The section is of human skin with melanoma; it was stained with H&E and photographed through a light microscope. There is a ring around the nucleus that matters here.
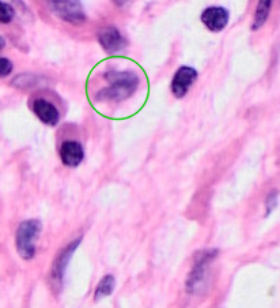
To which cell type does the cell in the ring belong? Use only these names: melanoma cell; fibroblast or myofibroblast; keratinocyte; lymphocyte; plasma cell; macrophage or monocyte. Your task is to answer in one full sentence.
As a matter of cell type, the cell in the ring is a macrophage or monocyte.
